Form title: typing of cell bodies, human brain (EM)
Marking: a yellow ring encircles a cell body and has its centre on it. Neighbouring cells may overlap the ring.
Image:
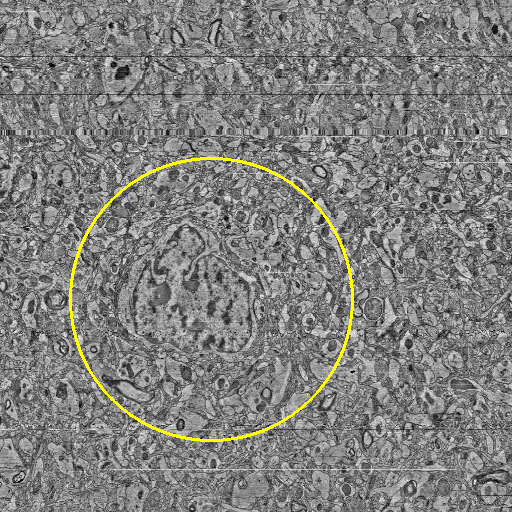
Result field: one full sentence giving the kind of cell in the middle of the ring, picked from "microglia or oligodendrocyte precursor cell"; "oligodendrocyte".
In the picture, the ring is centred on a microglial cell or oligodendrocyte precursor cell, whose cell body it encircles.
